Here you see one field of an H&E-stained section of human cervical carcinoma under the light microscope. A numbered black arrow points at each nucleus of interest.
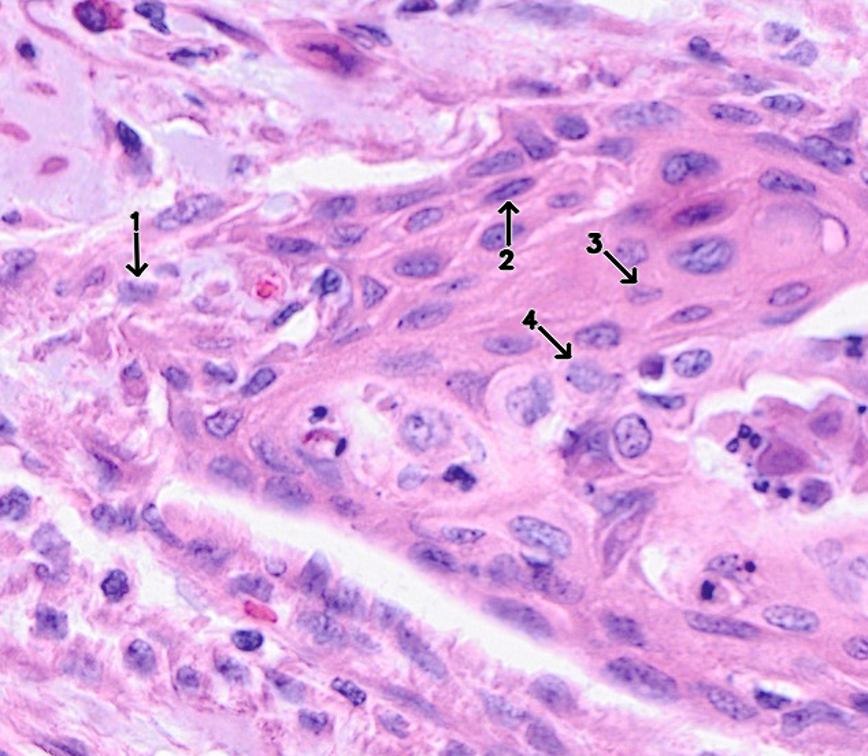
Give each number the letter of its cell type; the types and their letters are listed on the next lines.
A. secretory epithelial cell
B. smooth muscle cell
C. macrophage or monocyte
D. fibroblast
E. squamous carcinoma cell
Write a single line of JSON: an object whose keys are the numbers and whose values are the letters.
{"1": "D", "2": "E", "3": "E", "4": "E"}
